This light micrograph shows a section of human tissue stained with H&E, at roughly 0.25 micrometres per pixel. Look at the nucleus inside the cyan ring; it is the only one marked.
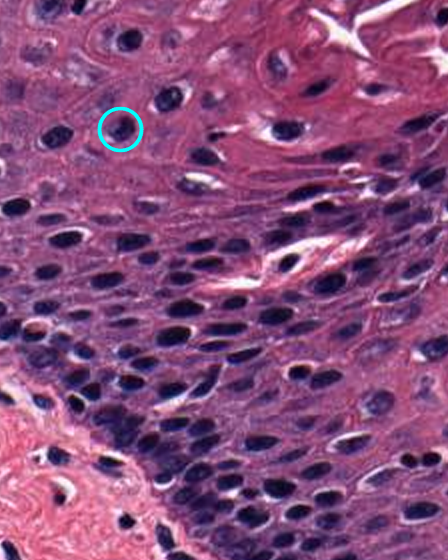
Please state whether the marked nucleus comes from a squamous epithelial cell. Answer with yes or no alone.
yes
